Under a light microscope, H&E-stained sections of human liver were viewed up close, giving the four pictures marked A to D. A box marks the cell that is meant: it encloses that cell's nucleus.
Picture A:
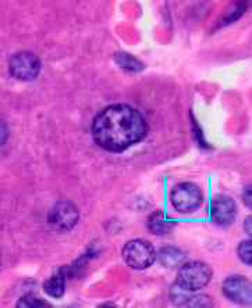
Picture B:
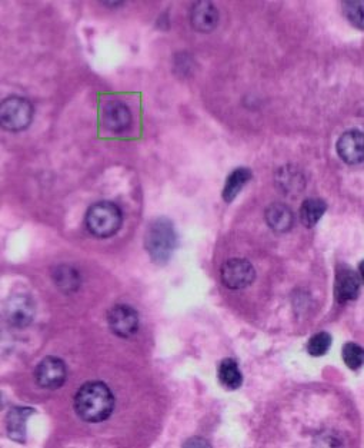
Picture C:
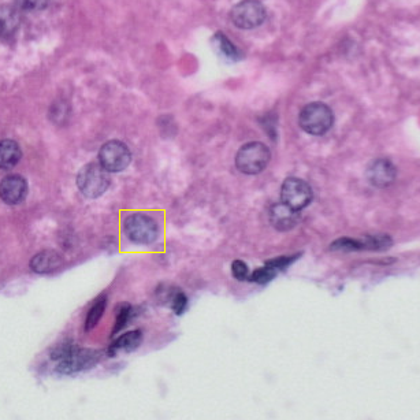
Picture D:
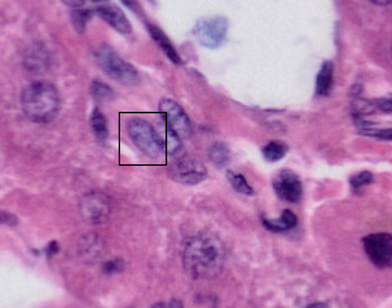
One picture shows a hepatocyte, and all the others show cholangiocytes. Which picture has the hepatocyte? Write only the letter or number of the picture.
B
